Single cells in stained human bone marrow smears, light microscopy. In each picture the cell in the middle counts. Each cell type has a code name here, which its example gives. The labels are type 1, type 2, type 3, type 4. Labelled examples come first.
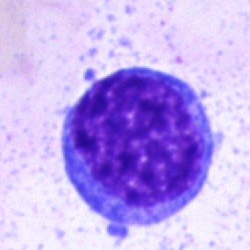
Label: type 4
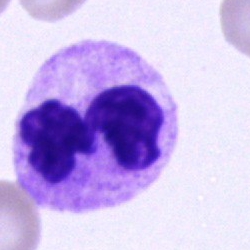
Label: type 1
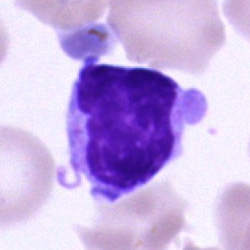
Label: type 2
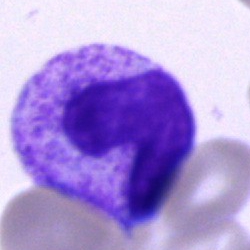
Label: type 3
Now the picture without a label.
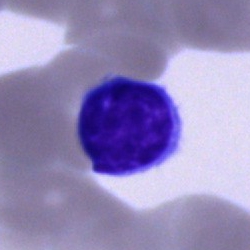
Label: type 2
